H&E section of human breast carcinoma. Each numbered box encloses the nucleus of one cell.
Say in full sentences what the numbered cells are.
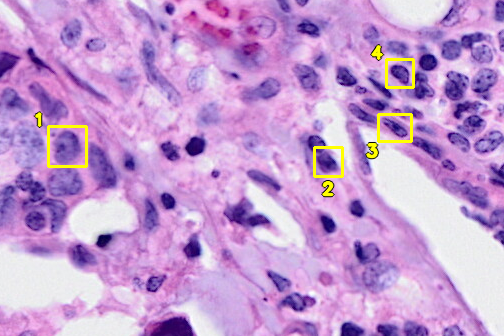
Cell 1 is a carcinoma cell, cell 2 is a lymphocyte, cell 3 is a lymphocyte and cell 4 is a lymphocyte.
